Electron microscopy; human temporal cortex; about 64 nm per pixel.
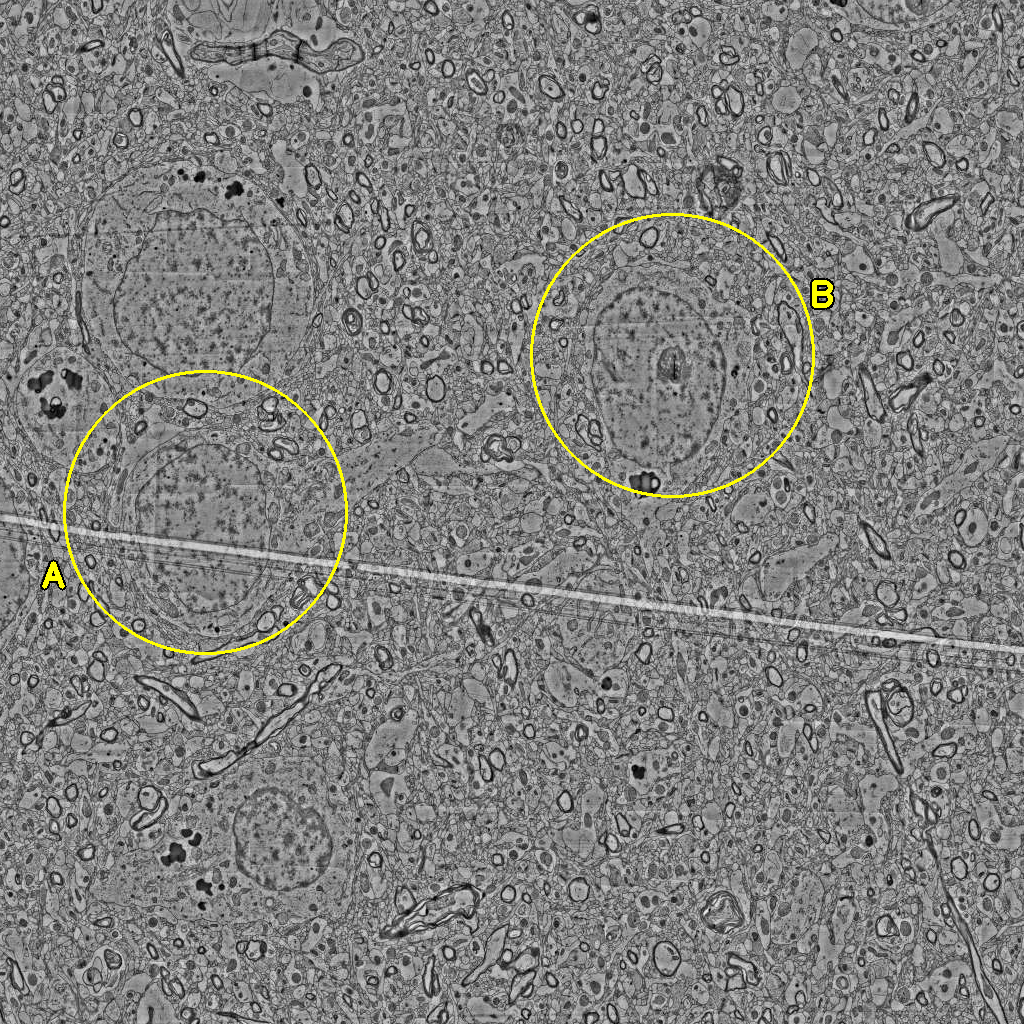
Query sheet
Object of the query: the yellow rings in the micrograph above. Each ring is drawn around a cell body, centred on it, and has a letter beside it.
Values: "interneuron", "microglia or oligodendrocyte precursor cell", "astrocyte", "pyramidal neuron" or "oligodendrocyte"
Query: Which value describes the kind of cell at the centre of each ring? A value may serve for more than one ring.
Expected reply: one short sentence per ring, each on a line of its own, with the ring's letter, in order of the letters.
I assign a pyramidal neuron to ring A.
I assign an interneuron to ring B.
